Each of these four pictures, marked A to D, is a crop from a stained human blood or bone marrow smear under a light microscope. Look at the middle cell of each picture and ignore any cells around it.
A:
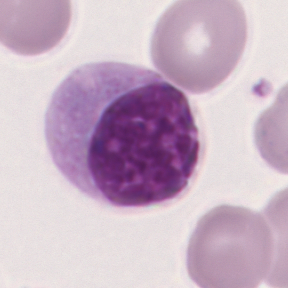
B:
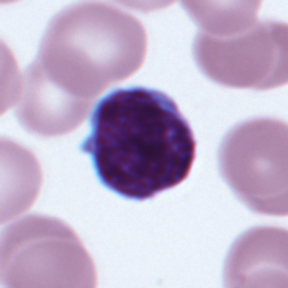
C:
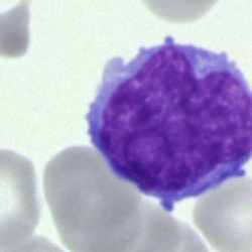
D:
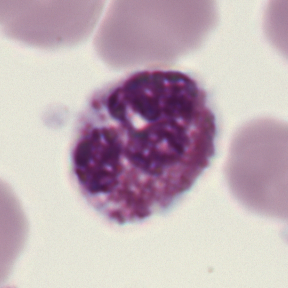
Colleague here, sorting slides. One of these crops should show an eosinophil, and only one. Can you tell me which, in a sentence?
Crop D, and no other, is the one that shows an eosinophil.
